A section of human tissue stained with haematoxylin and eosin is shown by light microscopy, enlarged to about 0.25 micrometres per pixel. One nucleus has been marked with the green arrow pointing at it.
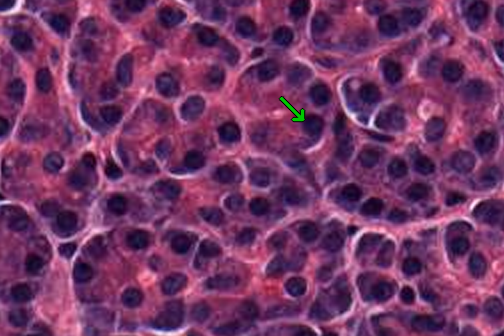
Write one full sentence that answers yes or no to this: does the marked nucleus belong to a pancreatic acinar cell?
Yes, the nucleus bearing the mark is that of a pancreatic acinar cell.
